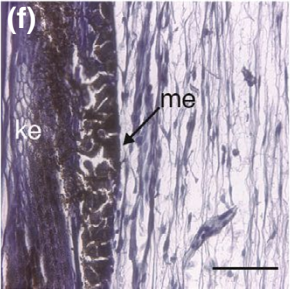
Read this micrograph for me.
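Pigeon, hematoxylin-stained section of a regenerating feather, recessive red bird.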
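The keratinocyte layer is densely filled with brown-black pigment granules, and the melanocytes along its dermal side form a dark network of pigmented cells with pale gaps between them. The dermis contains elongated spindle-shaped cells in a pale purple matrix.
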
